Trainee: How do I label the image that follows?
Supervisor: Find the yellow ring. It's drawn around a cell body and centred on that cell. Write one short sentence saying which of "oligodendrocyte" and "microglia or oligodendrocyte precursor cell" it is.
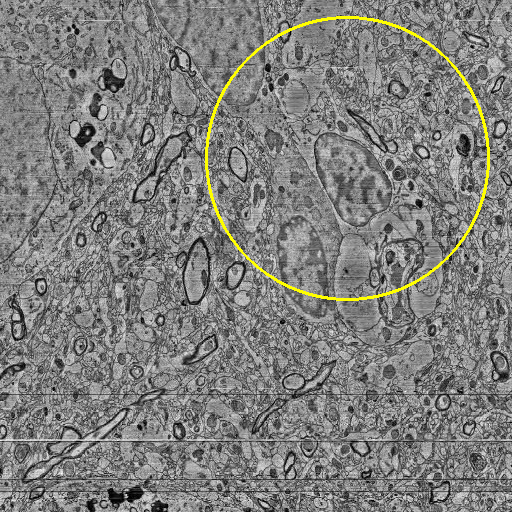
This is the cell body of a microglial cell or oligodendrocyte precursor cell.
